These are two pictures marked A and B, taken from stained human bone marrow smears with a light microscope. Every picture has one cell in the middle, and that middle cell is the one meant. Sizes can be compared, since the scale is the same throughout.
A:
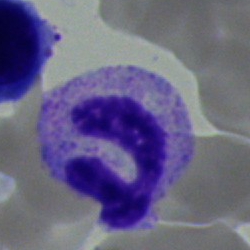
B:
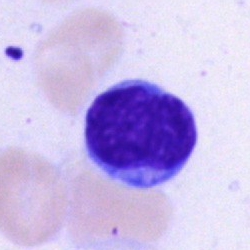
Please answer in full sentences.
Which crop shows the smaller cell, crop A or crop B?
It is the cell in crop B; the cell in crop A has about 1.5 times its area.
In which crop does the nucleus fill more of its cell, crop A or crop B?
In crop B the nucleus takes up the larger part of its cell.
